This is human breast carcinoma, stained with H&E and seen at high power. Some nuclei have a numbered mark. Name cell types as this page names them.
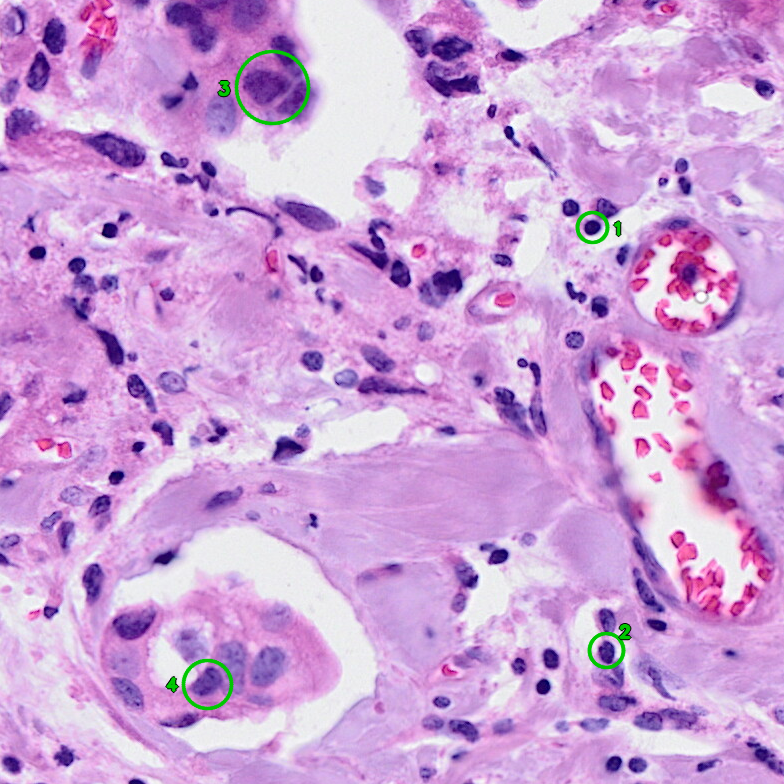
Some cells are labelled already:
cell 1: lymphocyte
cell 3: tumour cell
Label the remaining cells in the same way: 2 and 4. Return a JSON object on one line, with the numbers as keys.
{"2": "lymphocyte", "4": "tumour cell"}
